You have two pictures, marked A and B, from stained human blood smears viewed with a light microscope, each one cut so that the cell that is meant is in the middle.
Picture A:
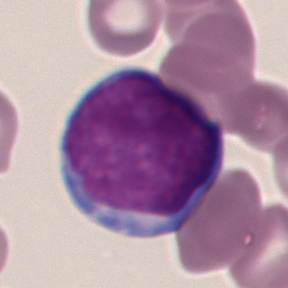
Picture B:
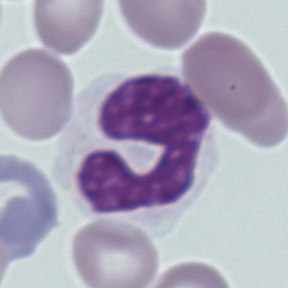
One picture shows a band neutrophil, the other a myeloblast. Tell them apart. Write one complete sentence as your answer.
In picture A the cell is a myeloblast; in picture B, a band neutrophil.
